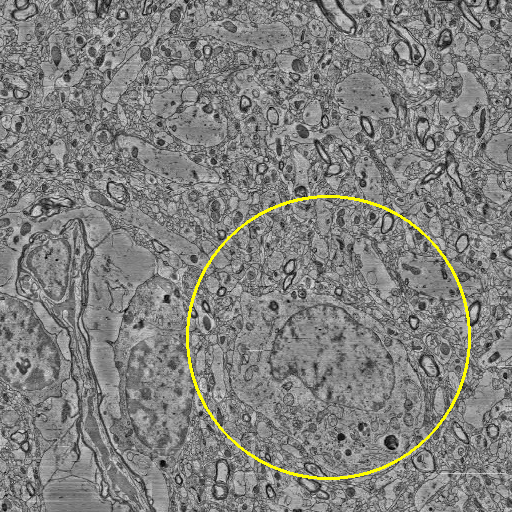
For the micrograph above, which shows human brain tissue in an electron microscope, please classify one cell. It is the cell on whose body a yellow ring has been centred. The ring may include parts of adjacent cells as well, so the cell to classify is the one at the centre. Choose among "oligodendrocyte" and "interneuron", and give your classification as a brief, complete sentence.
I classify this cell as an interneuron.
